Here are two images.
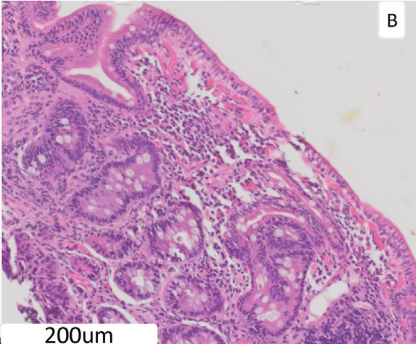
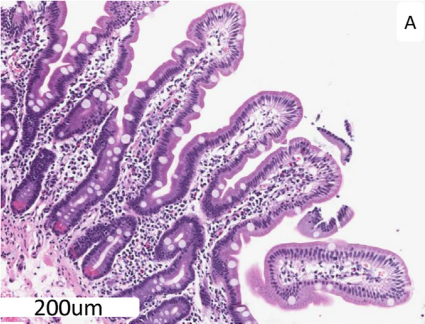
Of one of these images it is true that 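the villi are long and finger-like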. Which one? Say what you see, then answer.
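The second image. First image: flat mucosal surface with no villi. Second image: tall slender villi project into the lumen.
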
